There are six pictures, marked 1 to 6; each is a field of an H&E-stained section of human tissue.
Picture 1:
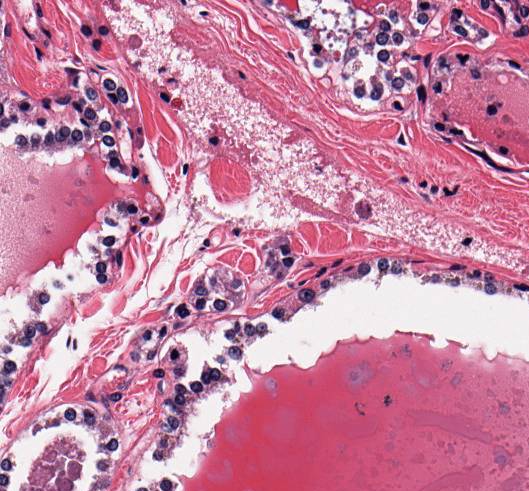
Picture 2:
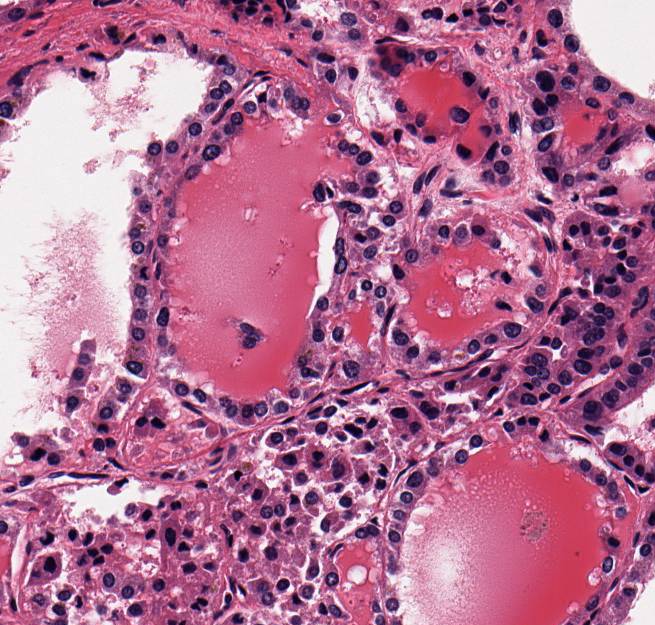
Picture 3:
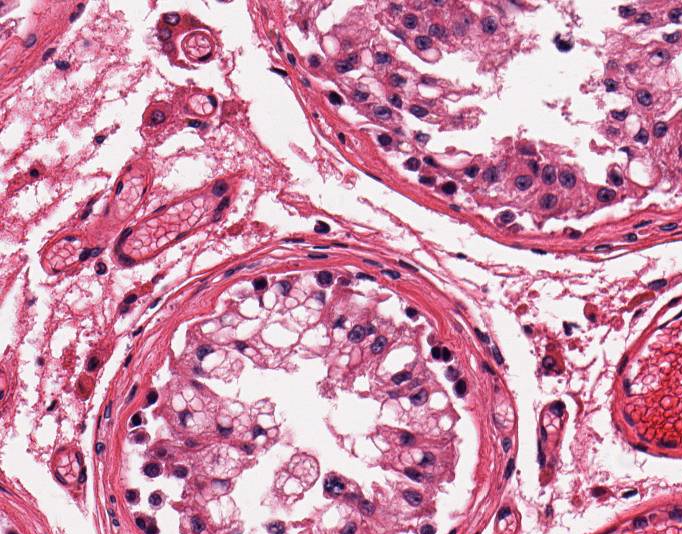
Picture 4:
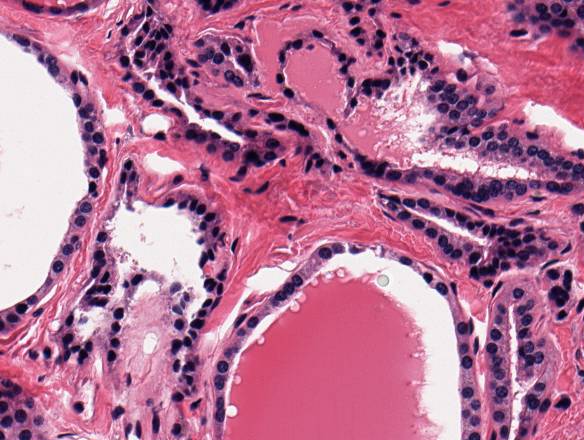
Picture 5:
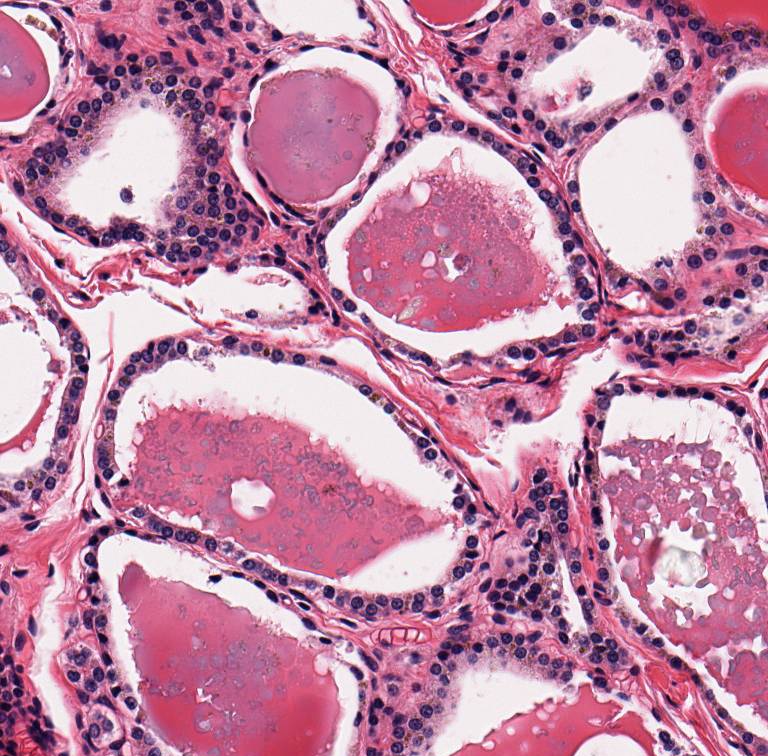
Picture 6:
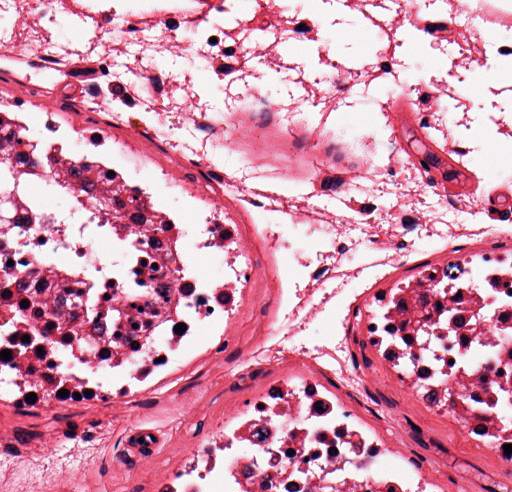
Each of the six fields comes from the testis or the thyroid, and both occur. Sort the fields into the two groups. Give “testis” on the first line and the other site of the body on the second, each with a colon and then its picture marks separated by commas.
testis: 3, 6
thyroid: 1, 2, 4, 5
